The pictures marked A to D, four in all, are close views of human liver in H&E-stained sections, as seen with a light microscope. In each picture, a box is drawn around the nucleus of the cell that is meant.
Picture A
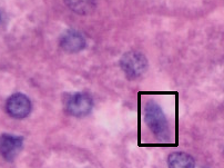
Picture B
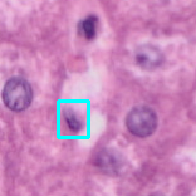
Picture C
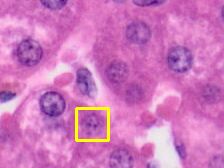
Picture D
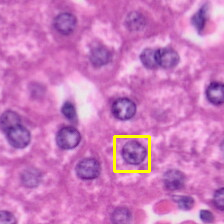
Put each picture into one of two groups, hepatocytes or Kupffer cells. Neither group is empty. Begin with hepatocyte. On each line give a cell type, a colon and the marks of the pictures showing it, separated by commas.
hepatocyte: C, D
Kupffer cell: A, B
